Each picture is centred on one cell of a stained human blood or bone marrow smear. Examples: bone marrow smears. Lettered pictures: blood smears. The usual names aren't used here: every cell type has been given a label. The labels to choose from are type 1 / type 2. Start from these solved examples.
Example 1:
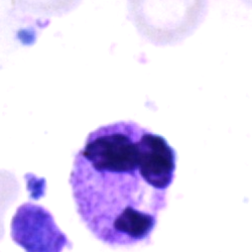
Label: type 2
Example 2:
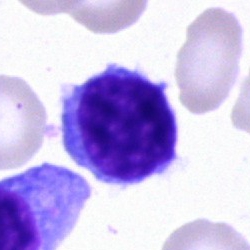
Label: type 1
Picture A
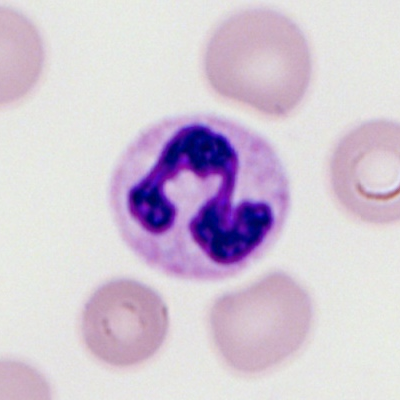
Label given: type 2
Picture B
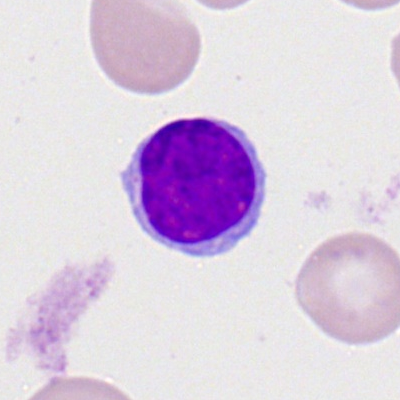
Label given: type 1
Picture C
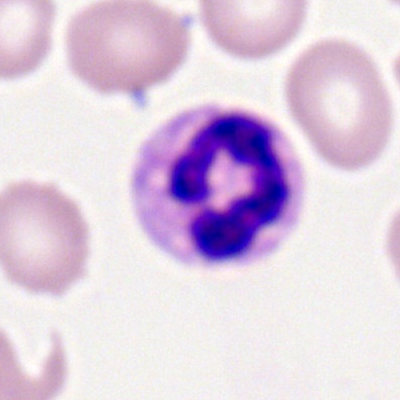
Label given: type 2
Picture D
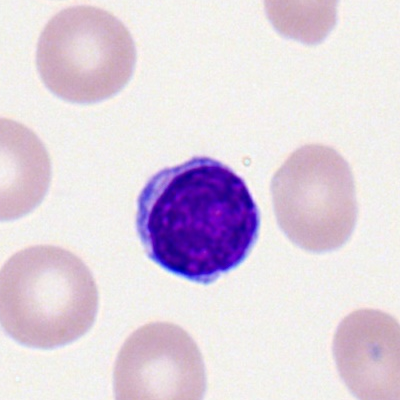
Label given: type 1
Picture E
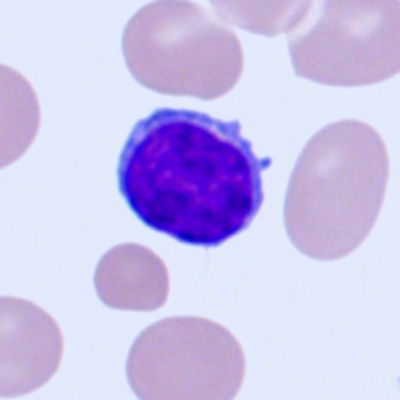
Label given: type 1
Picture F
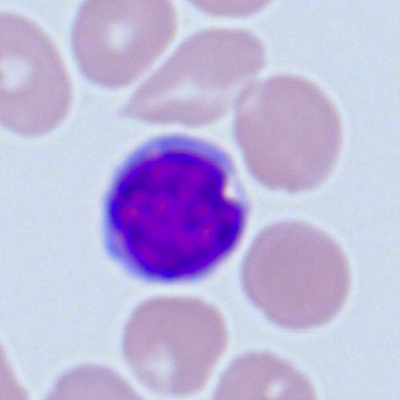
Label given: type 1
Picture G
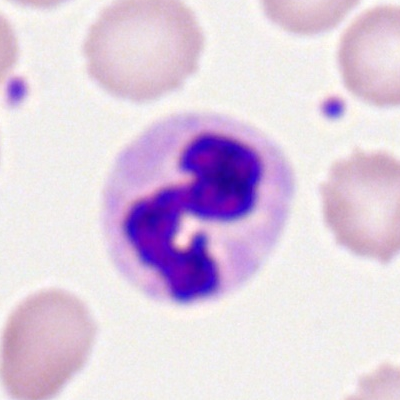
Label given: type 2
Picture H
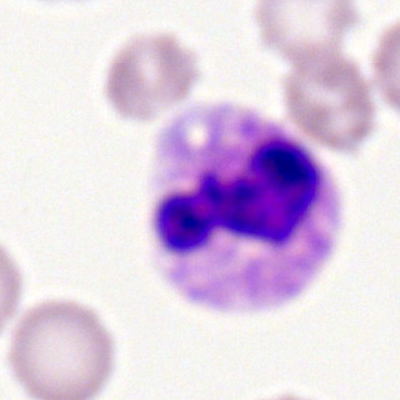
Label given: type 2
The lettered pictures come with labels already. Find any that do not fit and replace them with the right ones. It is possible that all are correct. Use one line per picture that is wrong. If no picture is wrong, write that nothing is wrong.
Every label is right.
